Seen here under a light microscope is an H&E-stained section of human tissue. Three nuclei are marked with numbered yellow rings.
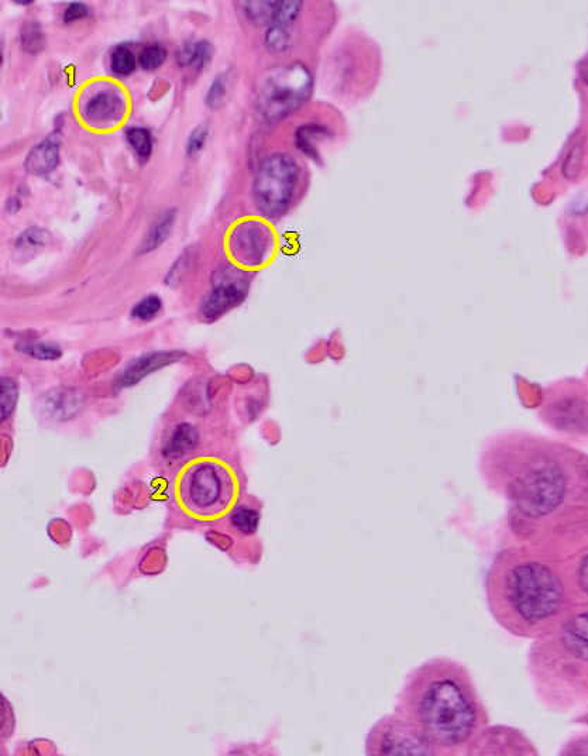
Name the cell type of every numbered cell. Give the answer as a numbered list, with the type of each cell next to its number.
1. plasma cell
2. macrophage or monocyte
3. carcinoma cell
